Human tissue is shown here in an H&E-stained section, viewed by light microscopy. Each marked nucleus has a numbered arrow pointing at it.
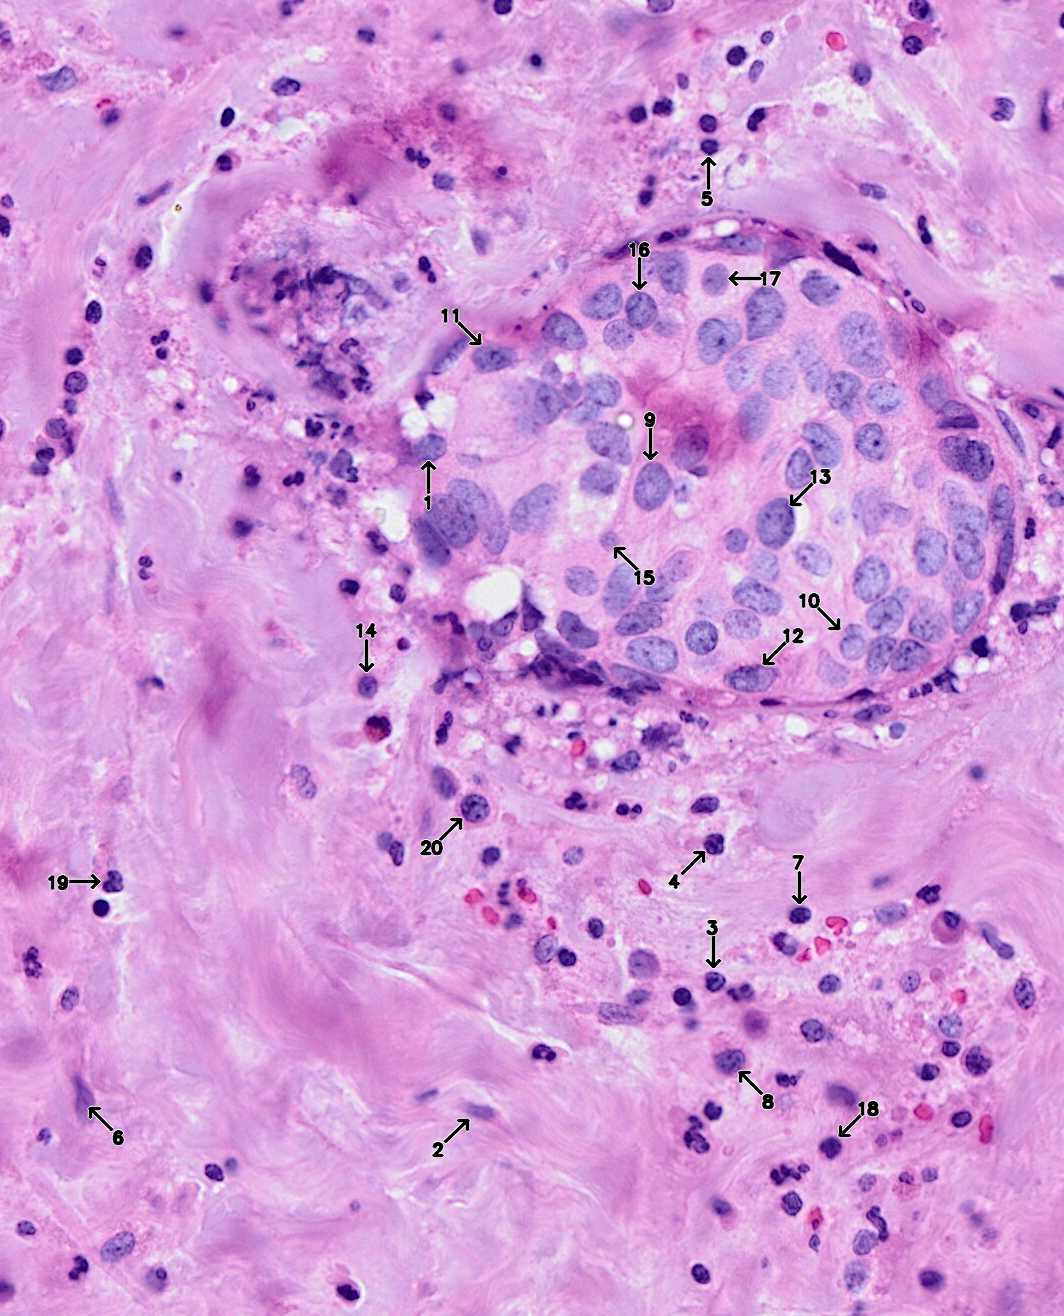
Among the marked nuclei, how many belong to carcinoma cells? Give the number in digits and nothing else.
9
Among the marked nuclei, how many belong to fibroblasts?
2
